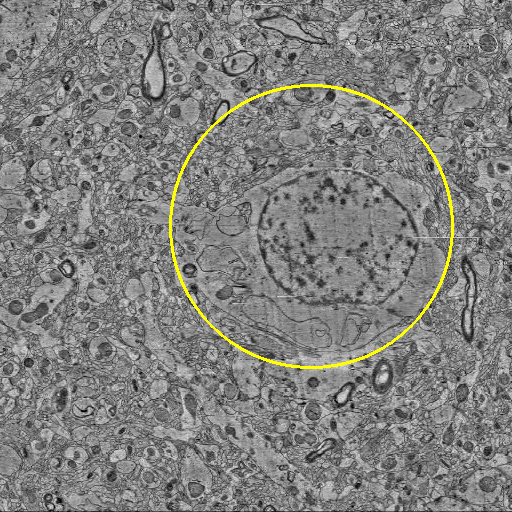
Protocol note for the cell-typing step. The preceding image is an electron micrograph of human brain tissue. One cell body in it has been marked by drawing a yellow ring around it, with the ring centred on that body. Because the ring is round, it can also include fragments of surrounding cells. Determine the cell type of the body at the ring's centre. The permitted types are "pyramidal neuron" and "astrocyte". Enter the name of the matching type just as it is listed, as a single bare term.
astrocyte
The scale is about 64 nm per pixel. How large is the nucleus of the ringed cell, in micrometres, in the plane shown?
In this plane the nucleus is about 10 micrometres across.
